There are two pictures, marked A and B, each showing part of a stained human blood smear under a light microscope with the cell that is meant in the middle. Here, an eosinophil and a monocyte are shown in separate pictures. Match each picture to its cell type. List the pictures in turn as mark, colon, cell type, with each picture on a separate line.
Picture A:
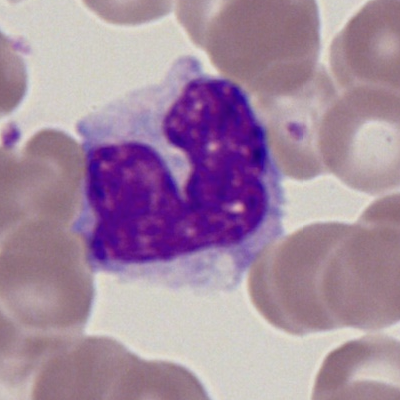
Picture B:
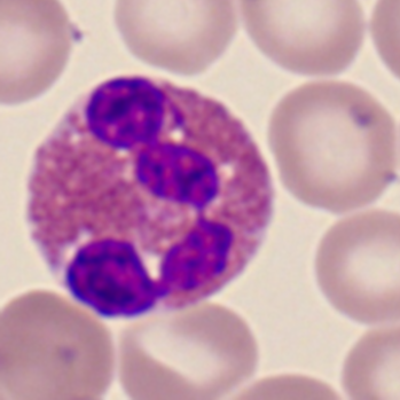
A: monocyte
B: eosinophil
